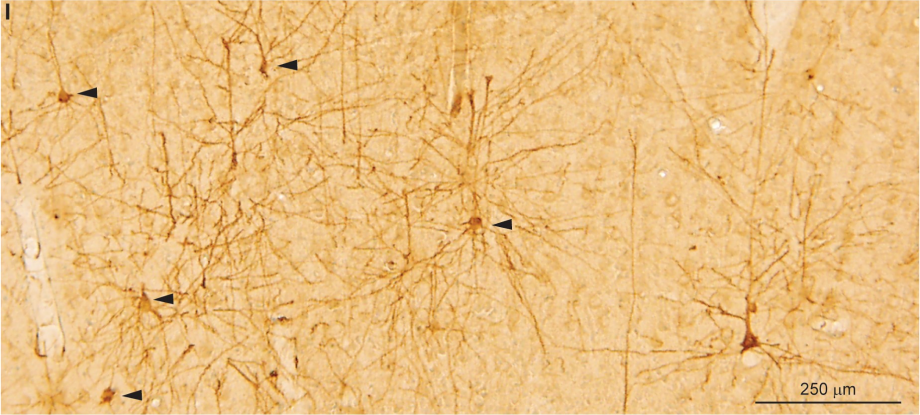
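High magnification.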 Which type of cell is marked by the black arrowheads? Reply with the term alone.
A: projection neurons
